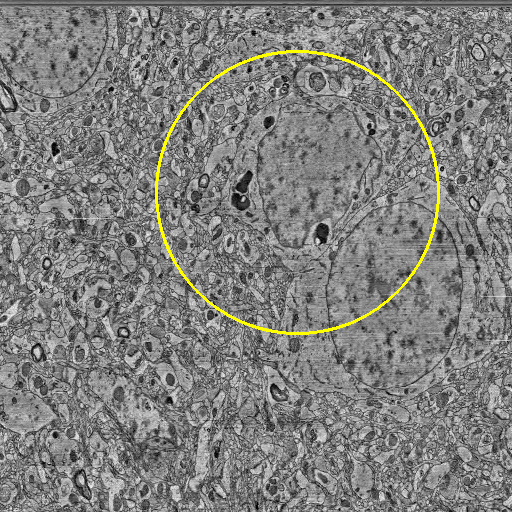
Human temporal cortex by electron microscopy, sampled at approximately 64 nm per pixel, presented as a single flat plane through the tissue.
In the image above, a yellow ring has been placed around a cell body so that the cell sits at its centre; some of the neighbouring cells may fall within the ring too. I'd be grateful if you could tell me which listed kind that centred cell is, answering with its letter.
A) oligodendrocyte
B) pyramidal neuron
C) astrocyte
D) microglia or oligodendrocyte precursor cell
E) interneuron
E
